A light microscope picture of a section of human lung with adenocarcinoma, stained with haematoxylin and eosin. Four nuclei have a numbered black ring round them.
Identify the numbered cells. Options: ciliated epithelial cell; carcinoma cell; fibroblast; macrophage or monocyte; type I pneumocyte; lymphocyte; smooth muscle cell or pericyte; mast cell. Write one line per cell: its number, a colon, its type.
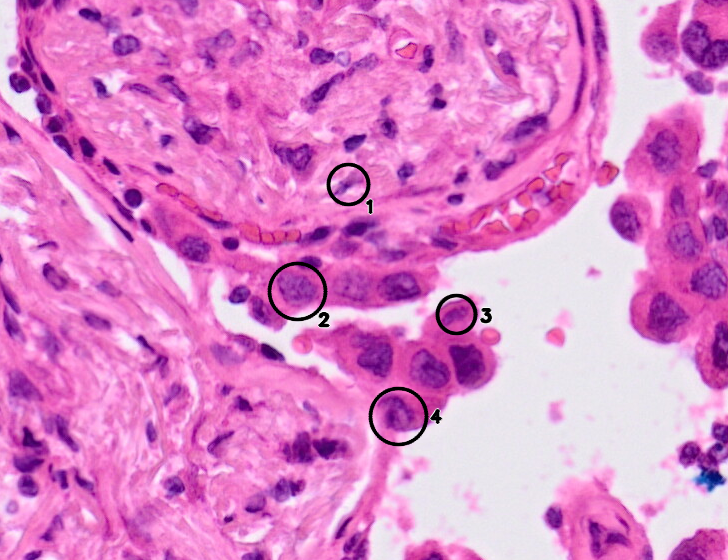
1: fibroblast
2: carcinoma cell
3: carcinoma cell
4: carcinoma cell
